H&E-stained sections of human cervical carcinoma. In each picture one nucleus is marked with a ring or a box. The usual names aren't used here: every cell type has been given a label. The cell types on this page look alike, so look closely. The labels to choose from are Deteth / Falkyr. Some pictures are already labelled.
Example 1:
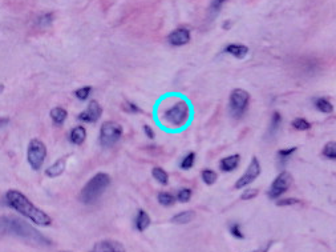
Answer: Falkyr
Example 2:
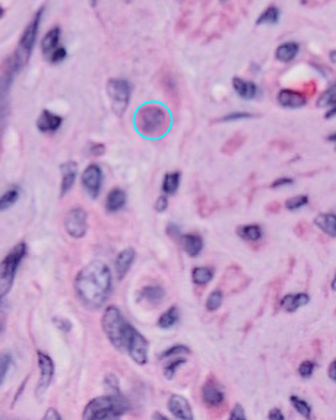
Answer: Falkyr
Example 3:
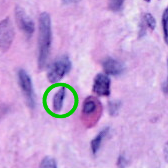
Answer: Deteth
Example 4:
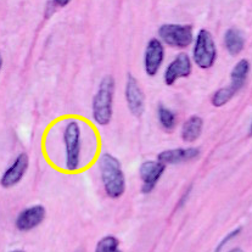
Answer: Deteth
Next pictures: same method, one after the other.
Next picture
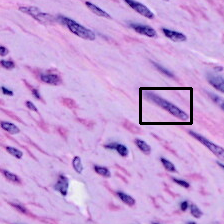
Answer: Falkyr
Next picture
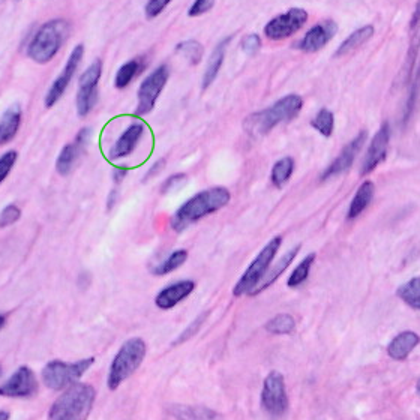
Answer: Deteth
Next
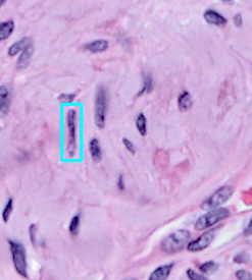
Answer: Deteth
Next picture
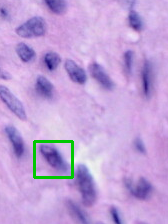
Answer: Deteth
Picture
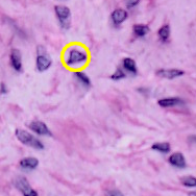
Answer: Falkyr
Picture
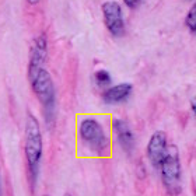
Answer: Falkyr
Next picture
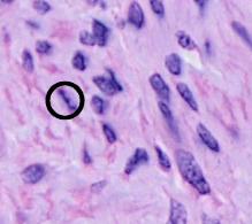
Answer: Falkyr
